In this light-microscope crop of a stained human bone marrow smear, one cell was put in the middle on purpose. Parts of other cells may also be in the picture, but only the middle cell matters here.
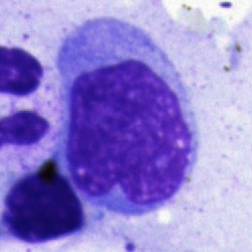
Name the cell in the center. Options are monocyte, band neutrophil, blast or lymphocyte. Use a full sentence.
Present in the middle of the crop is a monocyte.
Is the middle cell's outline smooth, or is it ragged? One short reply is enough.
Edge check done: smooth outline, no projections present.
